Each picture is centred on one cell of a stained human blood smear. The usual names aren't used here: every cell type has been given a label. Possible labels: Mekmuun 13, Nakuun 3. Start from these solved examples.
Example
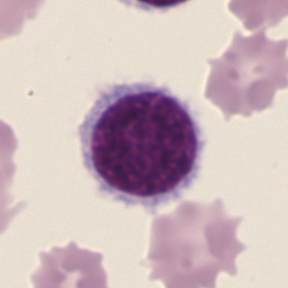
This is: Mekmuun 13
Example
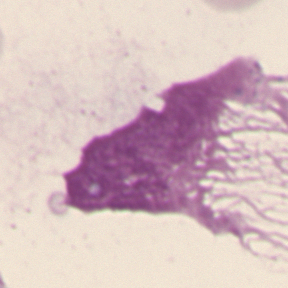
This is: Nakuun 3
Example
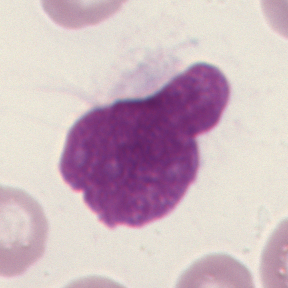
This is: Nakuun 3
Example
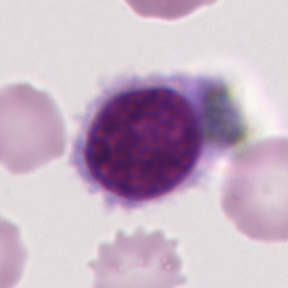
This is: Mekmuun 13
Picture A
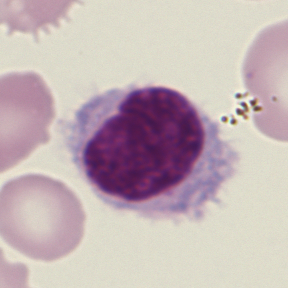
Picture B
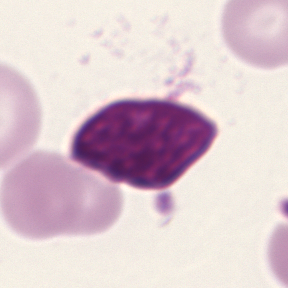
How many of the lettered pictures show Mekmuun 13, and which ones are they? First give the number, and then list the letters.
Count: 1 (A)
